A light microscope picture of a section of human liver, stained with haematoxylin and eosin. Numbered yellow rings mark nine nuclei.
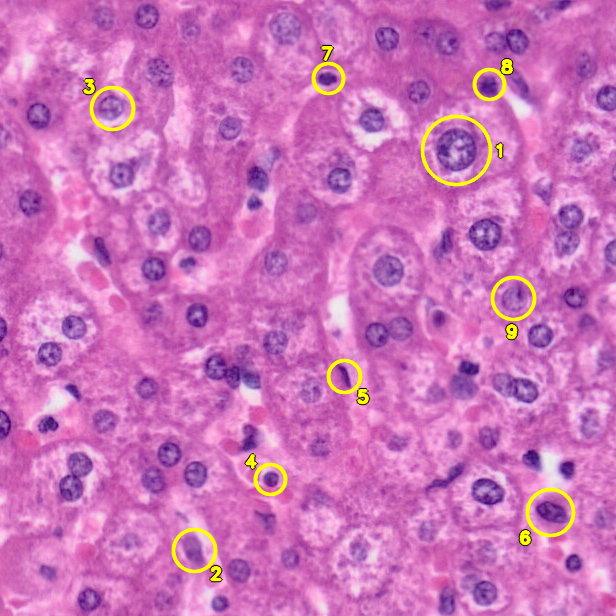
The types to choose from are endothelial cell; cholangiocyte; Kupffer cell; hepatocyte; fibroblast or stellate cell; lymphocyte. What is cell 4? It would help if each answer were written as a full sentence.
Number 4 is placed on a lymphocyte here.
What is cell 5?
Marked with the number 5, this cell is an endothelial cell.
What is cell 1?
Nucleus 1 in this section belongs to a hepatocyte.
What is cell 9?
It is as a hepatocyte that the cell numbered 9 is identified.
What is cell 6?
The cell pointed out as number 6 is a Kupffer cell.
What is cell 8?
The label 8 in this section denotes a fibroblast or stellate cell.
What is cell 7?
Of the numbered cells, the one labelled 7 is a lymphocyte.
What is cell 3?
Among the marked nuclei, number 3 belongs to a hepatocyte.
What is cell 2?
The cell numbered 2 represents a Kupffer cell.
